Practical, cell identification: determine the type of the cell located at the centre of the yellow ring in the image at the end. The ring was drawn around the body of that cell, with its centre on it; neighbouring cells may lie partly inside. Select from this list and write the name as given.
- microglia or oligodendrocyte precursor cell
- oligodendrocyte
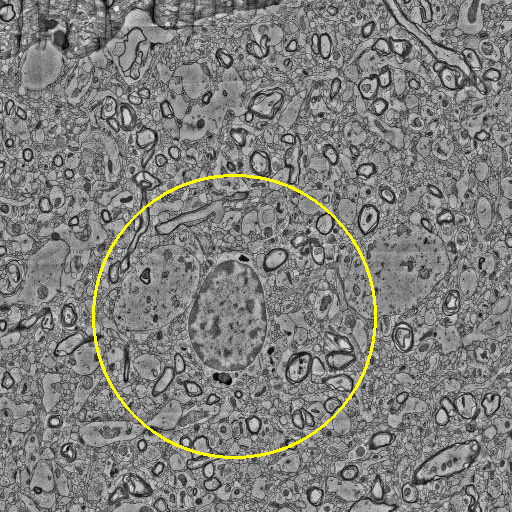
microglia or oligodendrocyte precursor cell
